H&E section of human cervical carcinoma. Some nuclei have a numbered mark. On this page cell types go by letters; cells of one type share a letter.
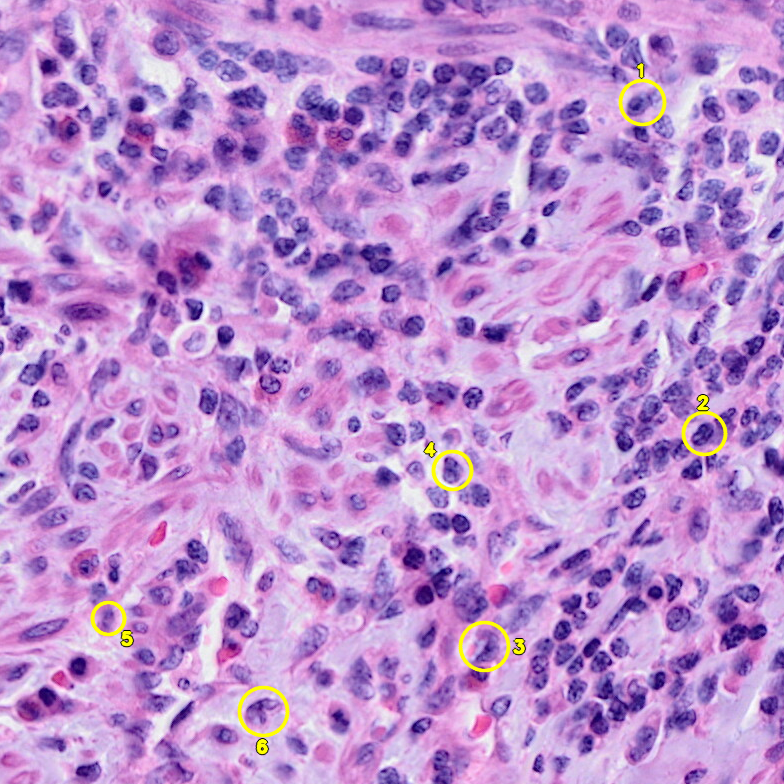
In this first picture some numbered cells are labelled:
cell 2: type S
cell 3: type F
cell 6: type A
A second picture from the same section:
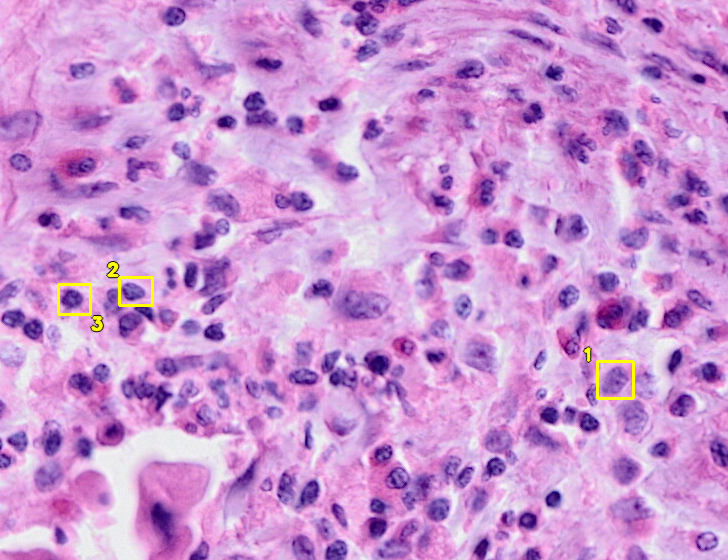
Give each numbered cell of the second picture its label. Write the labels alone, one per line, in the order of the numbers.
type A
type S
type S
